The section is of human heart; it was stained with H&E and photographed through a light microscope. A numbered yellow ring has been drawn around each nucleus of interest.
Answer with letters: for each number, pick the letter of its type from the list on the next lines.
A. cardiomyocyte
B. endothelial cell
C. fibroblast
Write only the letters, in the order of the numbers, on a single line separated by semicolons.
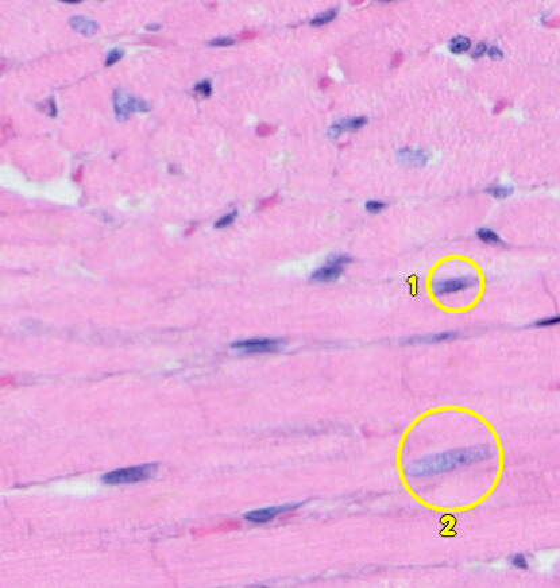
B; A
